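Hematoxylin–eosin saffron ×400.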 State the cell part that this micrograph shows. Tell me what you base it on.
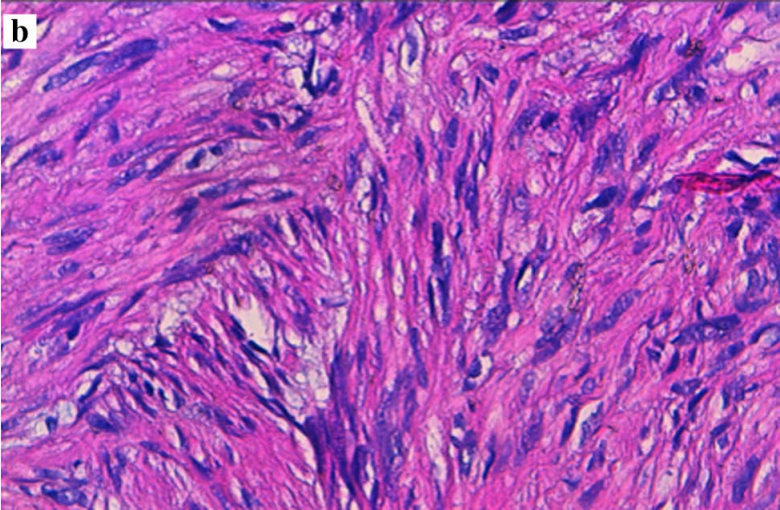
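Nuclei are long, blunt-ended and dark purple. Nuclei lie along the long axis of the cells. The answer: elongated cigar-like nucleis.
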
